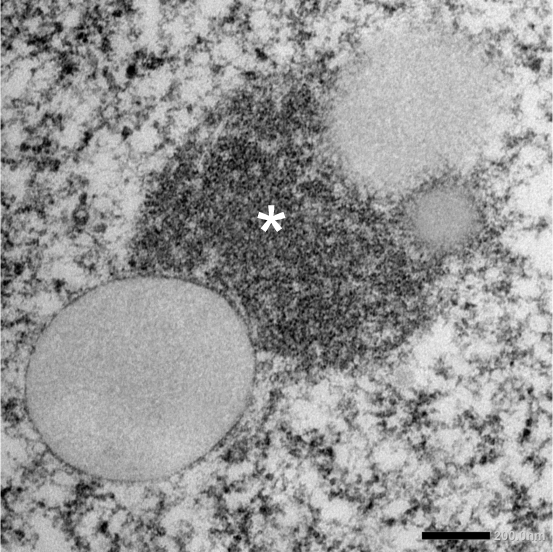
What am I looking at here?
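This high-magnification transmission electron micrograph shows part of a nucleus with a condensed chromatin area at its centre. The condensed chromatin forms an irregular, dense, dark, finely granular mass. The surrounding nucleoplasm is lighter and loosely fibrillar, with scattered dark granules.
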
